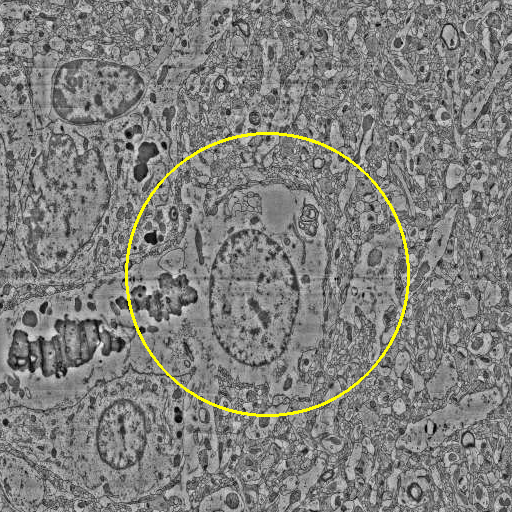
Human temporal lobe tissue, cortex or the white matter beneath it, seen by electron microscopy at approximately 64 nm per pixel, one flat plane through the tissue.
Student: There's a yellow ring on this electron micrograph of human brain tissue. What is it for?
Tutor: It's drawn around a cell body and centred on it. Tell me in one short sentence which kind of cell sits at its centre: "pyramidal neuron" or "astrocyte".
The cell at the centre of the ring is an astrocyte.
